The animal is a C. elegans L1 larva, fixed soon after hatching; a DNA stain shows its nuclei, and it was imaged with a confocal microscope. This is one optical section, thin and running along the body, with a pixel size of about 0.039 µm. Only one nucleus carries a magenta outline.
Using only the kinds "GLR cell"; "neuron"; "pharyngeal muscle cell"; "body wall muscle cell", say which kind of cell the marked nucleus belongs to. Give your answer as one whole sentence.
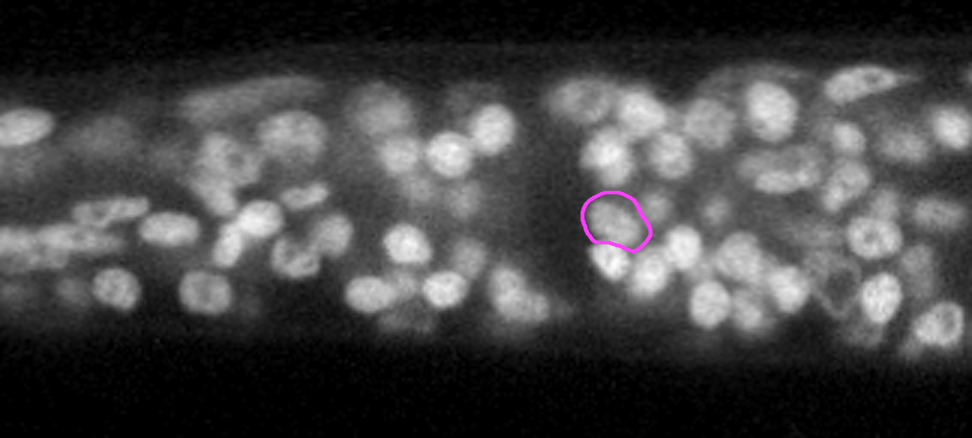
The marked nucleus belongs to a GLR cell.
